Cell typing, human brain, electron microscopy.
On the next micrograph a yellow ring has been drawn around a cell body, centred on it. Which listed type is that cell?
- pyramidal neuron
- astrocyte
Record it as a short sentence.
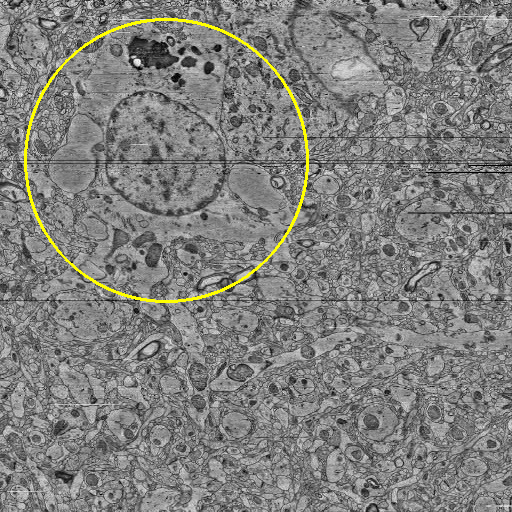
The cell body in the ring's centre belongs to an astrocyte.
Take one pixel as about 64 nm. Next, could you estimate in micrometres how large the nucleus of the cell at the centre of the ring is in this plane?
About 9 by 7 micrometers for the nucleus, in this plane.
